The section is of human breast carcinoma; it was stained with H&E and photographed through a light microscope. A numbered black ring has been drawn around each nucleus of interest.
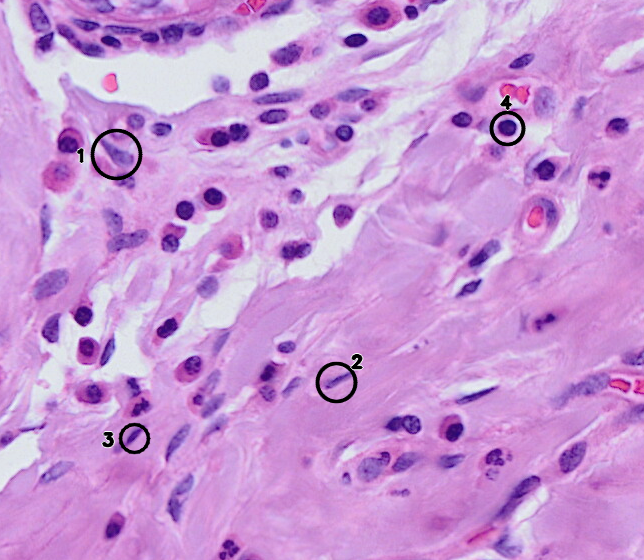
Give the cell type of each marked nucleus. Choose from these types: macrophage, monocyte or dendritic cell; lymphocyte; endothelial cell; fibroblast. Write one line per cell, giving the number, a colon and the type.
1: fibroblast
2: fibroblast
3: fibroblast
4: lymphocyte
